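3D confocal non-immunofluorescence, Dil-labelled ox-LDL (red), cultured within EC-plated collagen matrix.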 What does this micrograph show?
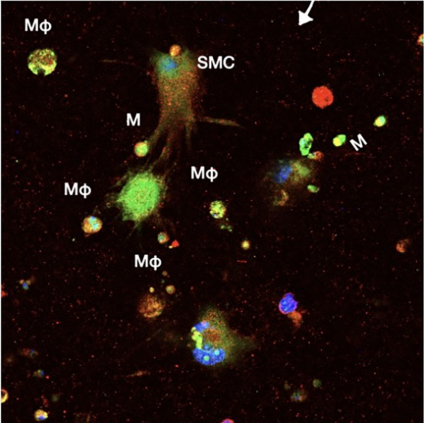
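The small round cells scattered throughout range from green to yellow and orange, and many contain granular red material. One round cell near the upper right is entirely red. Toward the bottom lies a cluster of cells with several blue nuclei and mixed green and red staining.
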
